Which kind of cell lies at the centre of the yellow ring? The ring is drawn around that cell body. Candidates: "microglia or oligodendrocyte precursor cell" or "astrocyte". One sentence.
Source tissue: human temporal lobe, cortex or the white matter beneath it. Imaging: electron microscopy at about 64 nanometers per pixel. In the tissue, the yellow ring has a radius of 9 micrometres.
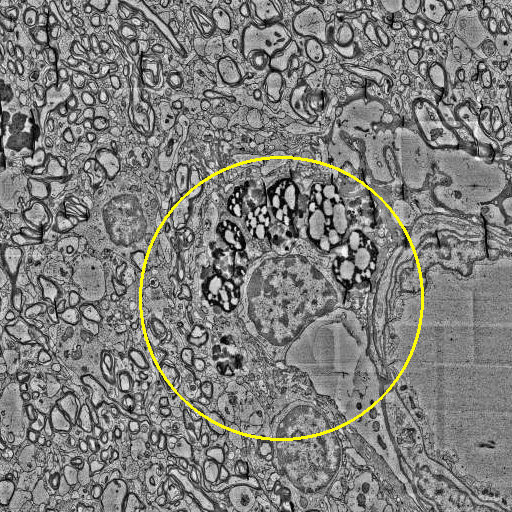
Lying at the centre of the ring is a microglial cell or oligodendrocyte precursor cell.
